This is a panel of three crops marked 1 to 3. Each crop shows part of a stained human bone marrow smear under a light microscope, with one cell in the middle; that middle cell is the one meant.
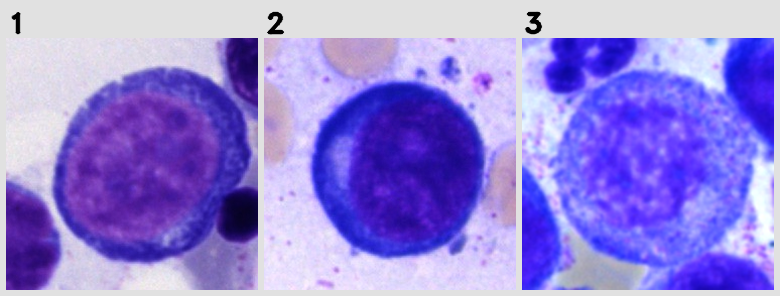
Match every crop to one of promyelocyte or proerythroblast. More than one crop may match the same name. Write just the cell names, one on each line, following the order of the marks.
proerythroblast
proerythroblast
promyelocyte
